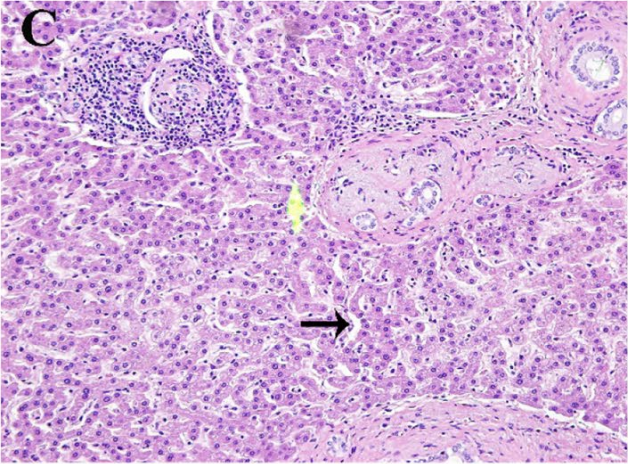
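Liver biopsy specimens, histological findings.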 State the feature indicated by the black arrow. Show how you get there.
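The arrow points to a widened clear space between plates of hepatocytes. The clear spaces between the cell plates are wider than usual sinusoidal slits. That points to this answer: hepatic sinusoid.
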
